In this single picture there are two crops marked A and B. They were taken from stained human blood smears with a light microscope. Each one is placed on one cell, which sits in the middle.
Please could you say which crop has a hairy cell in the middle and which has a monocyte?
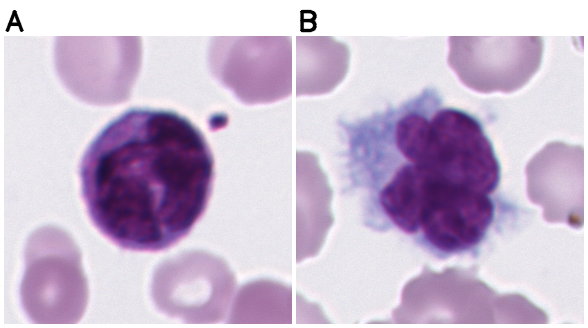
A: monocyte
B: hairy cell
